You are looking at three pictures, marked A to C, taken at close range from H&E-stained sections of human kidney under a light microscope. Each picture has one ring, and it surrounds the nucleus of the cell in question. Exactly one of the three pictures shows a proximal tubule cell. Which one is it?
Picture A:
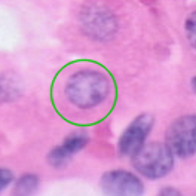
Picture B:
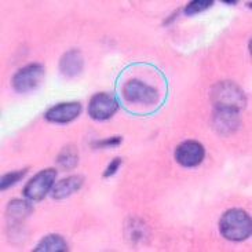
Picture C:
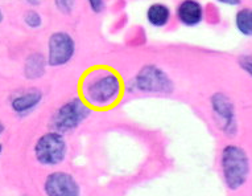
A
